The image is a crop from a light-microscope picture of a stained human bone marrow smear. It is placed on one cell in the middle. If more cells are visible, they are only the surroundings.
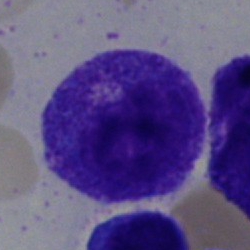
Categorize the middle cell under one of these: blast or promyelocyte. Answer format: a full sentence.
At the middle of the frame sits a promyelocyte.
